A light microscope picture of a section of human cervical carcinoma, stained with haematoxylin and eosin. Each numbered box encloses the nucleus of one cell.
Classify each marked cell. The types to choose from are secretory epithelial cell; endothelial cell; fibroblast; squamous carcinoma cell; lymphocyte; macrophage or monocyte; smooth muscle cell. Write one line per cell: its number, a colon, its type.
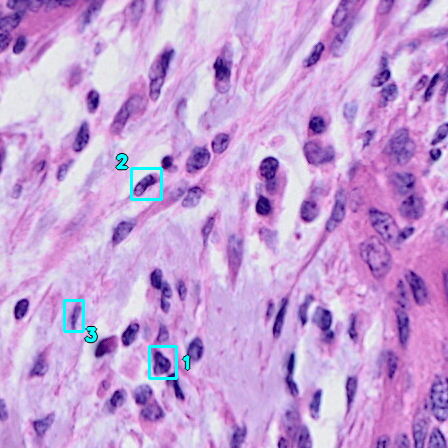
1: lymphocyte
2: lymphocyte
3: fibroblast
